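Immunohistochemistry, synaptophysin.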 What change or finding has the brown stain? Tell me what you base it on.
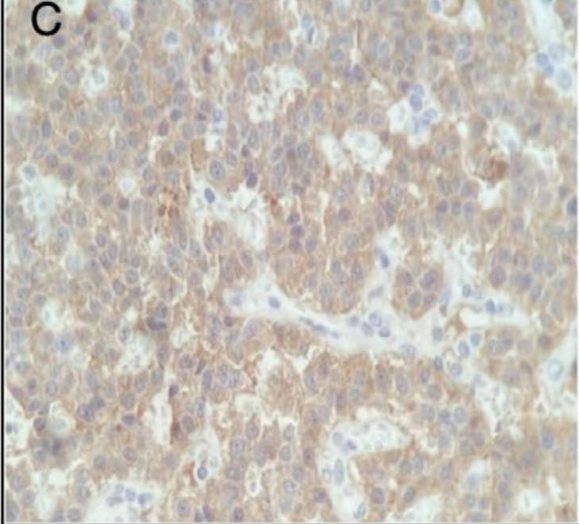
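Diffuse cytoplasmic positivity. Brown stain fills the cytoplasm of nearly all tumor cells. Nuclei remain blue and unstained. Thin stromal strands between cell groups stay pale.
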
